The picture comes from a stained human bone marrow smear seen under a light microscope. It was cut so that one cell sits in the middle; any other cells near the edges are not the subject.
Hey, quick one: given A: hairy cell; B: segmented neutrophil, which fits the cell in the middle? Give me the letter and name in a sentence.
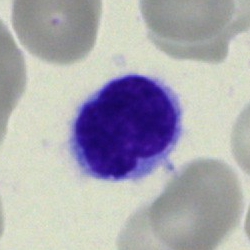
Option A holds, for the cell in the middle is a hairy cell.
